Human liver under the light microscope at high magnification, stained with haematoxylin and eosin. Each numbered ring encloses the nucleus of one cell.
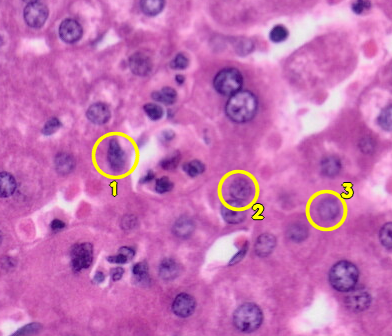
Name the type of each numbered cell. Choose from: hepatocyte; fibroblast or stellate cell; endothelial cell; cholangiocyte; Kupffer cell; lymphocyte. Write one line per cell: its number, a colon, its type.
1: fibroblast or stellate cell
2: hepatocyte
3: hepatocyte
